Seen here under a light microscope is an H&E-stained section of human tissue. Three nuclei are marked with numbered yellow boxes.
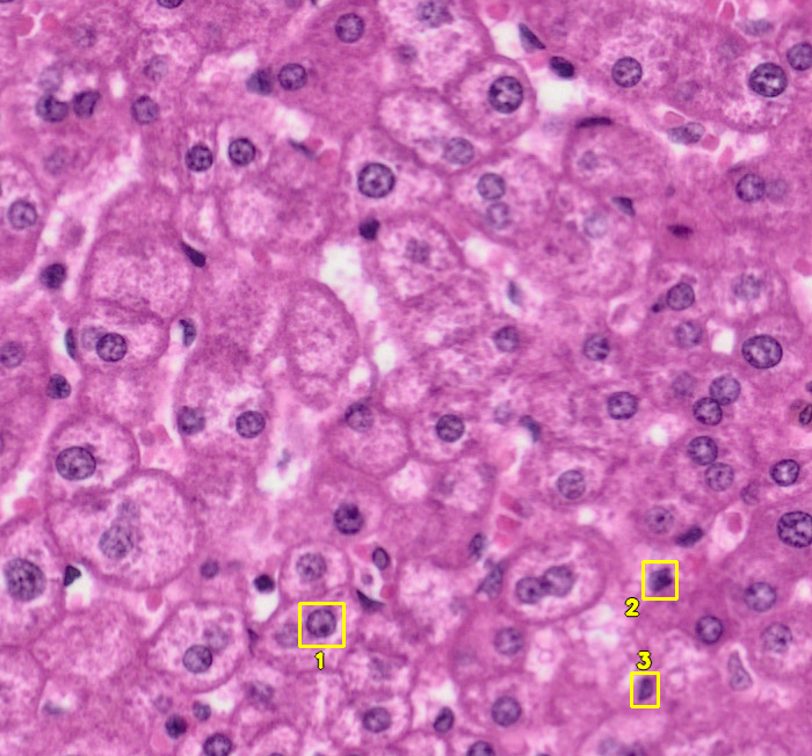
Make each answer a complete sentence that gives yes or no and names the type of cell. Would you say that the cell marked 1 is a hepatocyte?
Yes, the number 1 belongs to a hepatocyte.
